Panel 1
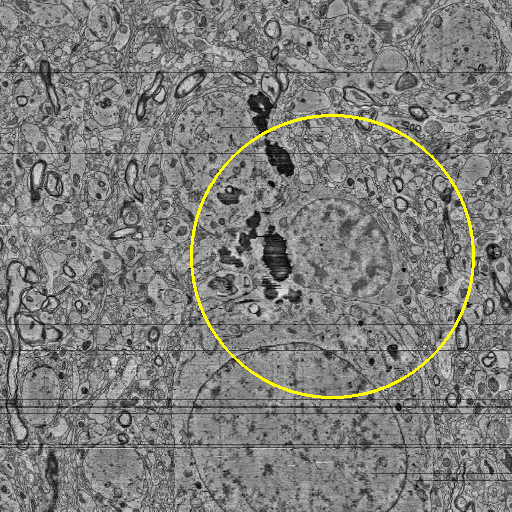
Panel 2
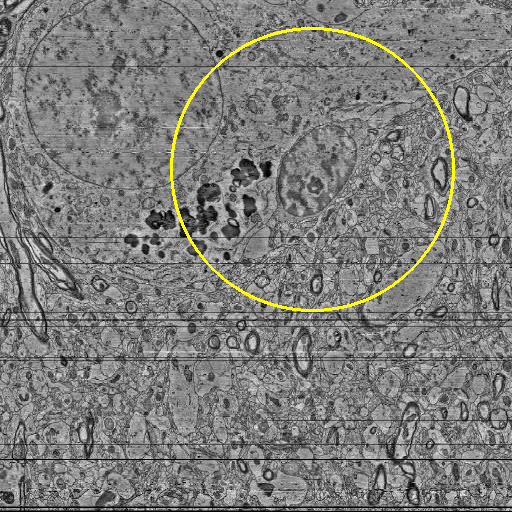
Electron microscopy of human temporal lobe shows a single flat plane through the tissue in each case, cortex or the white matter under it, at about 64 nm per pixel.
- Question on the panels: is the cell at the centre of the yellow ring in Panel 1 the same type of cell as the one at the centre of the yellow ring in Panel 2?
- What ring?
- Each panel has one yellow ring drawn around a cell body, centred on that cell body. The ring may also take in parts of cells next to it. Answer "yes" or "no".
yes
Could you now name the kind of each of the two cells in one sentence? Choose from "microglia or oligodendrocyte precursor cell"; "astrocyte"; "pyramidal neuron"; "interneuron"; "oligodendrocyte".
Both pictures show an oligodendrocyte at the centre of the ring.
